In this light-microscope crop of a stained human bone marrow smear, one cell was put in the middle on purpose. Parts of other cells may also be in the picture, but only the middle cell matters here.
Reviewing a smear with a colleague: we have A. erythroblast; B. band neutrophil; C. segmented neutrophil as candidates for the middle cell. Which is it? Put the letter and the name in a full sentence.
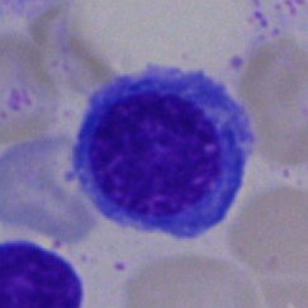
For this crop, option A is right, the centered cell being an erythroblast.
